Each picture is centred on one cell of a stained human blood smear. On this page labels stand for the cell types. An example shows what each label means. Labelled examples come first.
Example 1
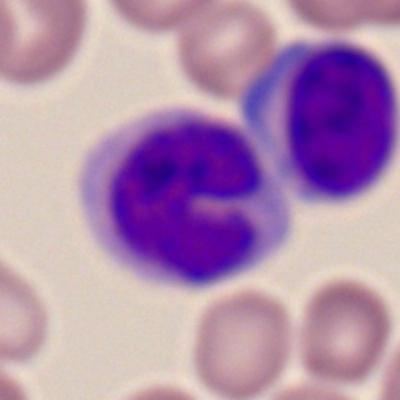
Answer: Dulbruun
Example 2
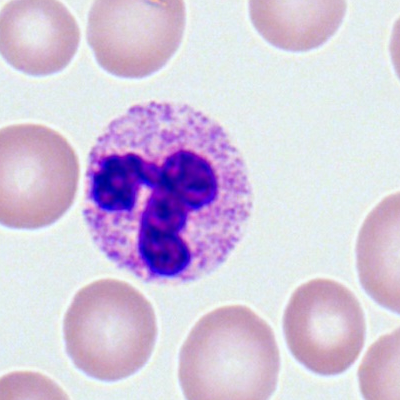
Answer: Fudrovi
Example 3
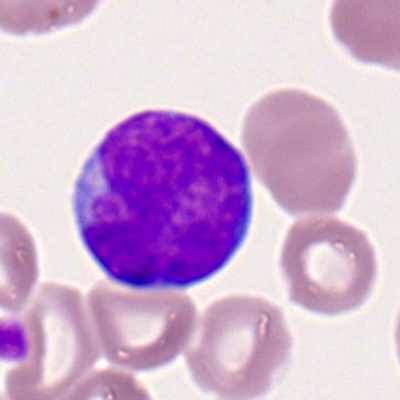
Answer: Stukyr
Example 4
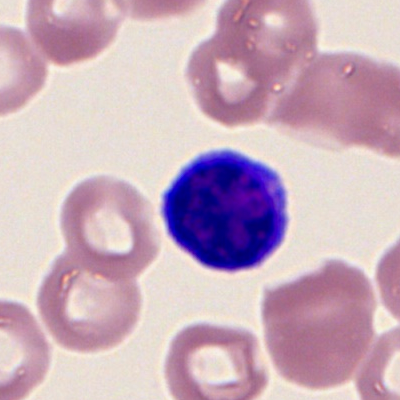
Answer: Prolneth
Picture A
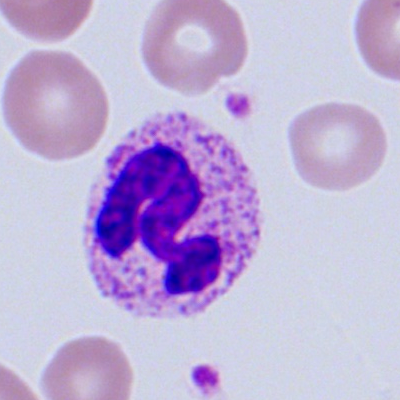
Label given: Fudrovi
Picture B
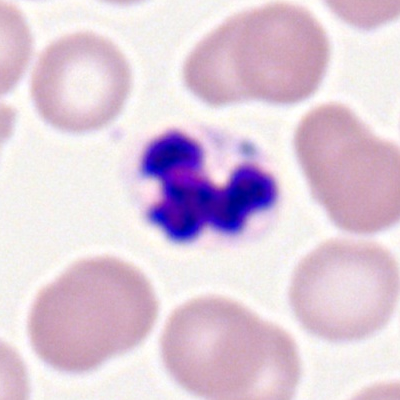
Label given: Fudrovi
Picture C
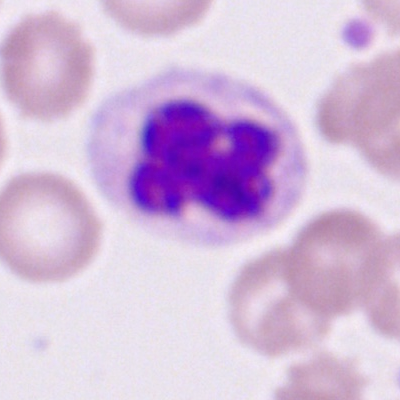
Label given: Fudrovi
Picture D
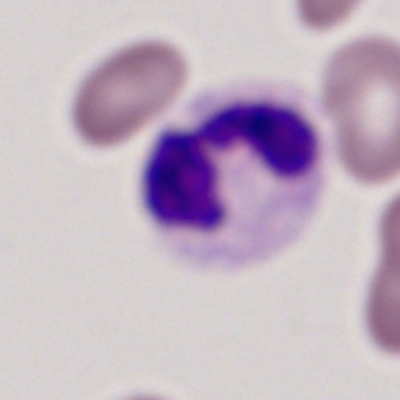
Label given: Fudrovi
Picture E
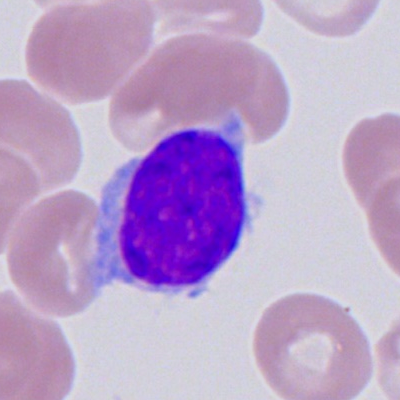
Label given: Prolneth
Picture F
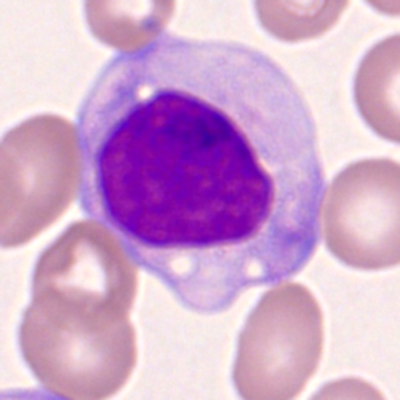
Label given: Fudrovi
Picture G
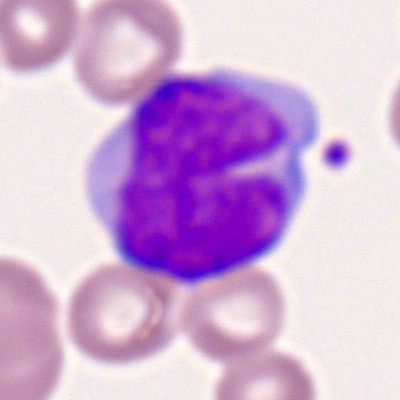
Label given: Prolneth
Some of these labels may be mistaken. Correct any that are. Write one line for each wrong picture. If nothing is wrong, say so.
F: Dulbruun, not Fudrovi
G: Dulbruun, not Prolneth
